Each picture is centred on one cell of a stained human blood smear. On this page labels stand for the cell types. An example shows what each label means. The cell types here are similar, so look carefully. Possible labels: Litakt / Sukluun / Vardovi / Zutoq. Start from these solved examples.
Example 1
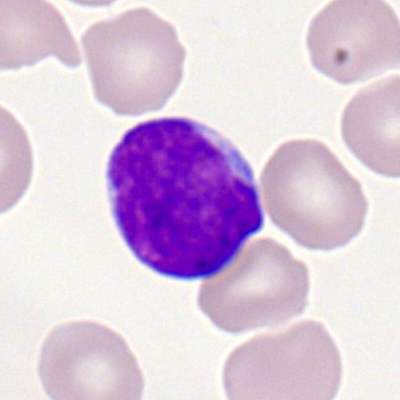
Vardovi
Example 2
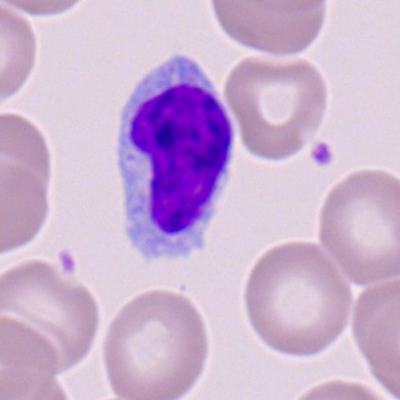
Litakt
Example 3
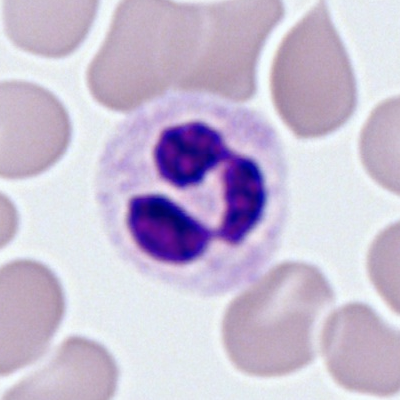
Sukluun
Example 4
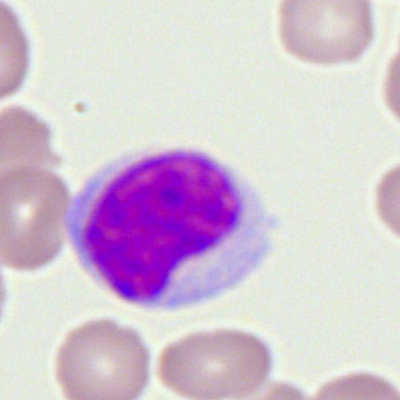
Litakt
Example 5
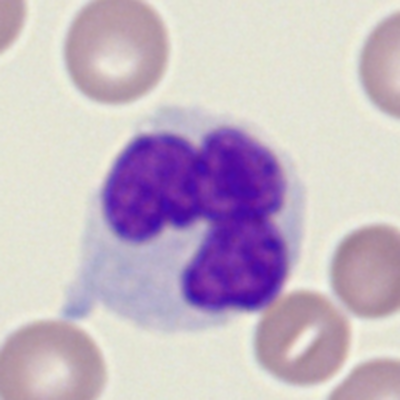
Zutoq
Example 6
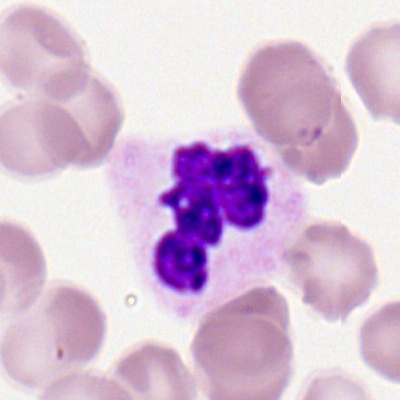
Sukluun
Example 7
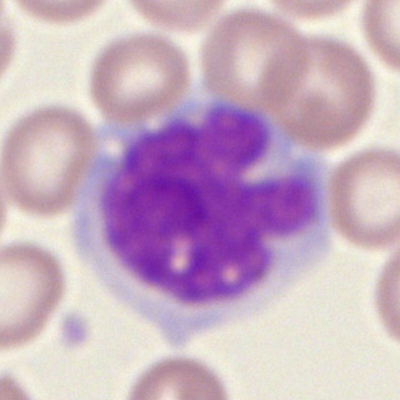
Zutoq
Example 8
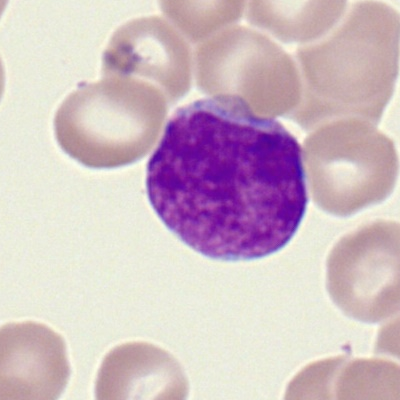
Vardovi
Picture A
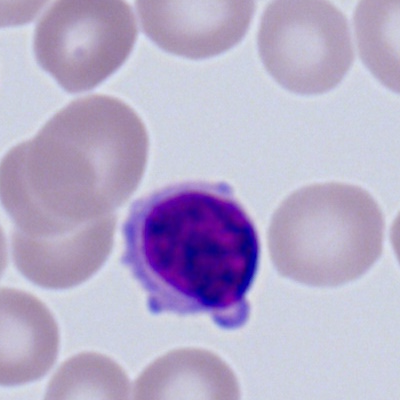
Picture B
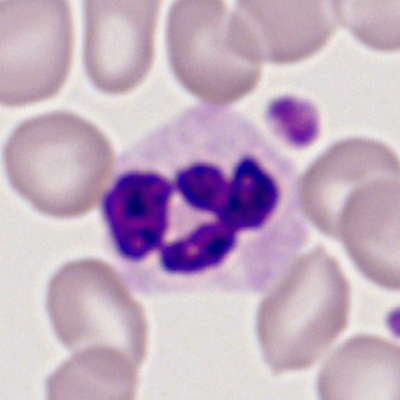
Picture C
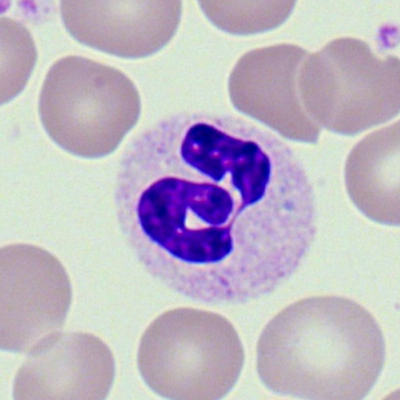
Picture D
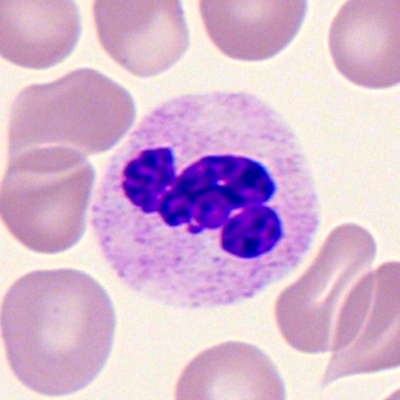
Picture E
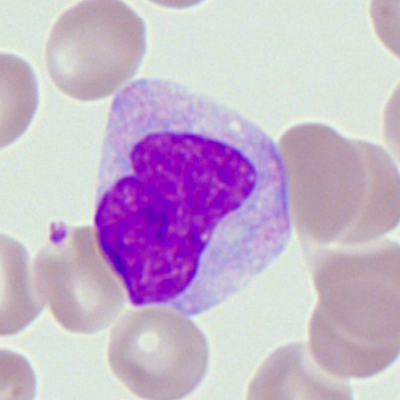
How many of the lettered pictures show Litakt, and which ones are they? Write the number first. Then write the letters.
Count: 1 (A)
